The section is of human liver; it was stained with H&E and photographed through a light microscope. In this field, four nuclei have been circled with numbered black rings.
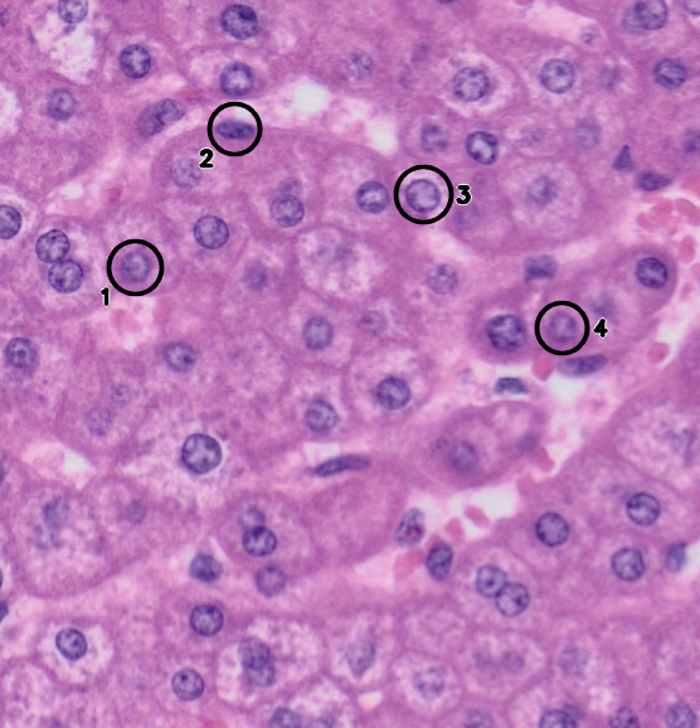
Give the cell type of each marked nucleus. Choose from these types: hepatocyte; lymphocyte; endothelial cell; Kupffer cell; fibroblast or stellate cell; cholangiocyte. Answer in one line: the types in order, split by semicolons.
hepatocyte; fibroblast or stellate cell; hepatocyte; hepatocyte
